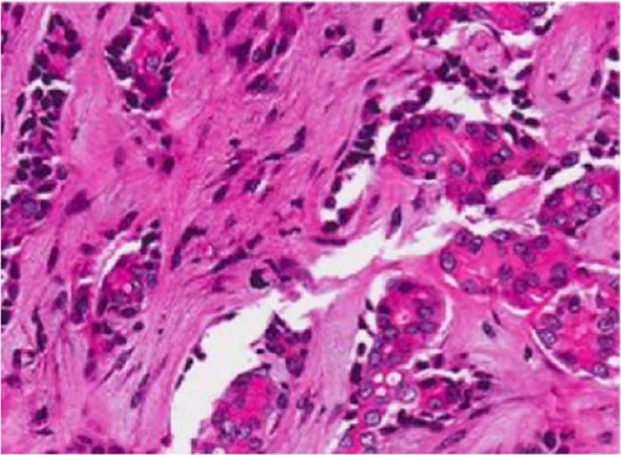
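This is a carcinoma in which nests of tumour cells lie within a dense, pink fibrous stroma containing spindle-shaped nuclei. The tumour cells have round to oval nuclei with nucleoli, and some smaller, darker cells lie along the edges of the nests. Clefts separate some nests from the surrounding stroma.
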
